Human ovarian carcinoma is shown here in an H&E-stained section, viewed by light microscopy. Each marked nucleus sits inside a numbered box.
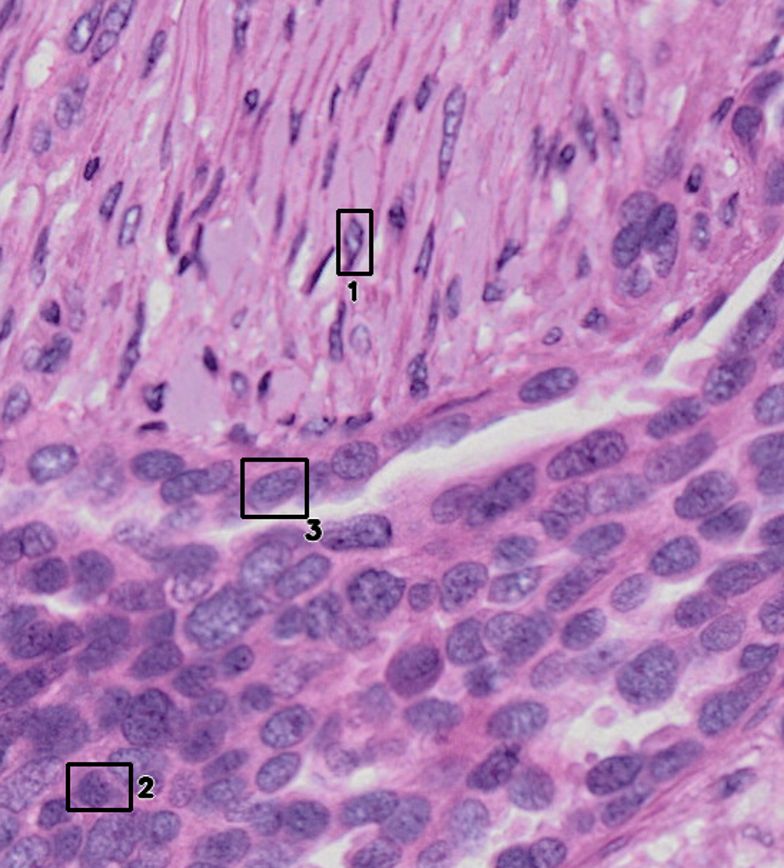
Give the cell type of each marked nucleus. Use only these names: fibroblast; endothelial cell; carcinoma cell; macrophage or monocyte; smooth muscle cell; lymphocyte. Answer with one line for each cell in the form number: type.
1: fibroblast
2: carcinoma cell
3: carcinoma cell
